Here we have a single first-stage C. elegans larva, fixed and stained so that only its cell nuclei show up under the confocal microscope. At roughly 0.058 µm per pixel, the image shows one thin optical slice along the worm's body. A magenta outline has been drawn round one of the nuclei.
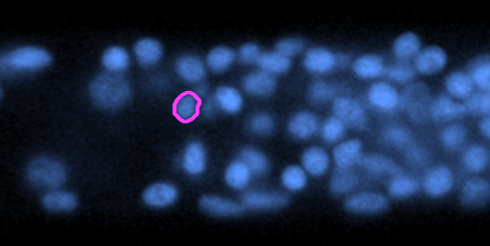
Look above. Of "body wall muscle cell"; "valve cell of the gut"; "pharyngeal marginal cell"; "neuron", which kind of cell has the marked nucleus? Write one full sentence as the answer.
What is marked is the nucleus of a valve cell of the gut.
